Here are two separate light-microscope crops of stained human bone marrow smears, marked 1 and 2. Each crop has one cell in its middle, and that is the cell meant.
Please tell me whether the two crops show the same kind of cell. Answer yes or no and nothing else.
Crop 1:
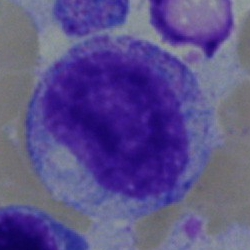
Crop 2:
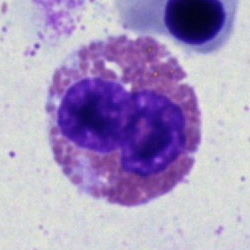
no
